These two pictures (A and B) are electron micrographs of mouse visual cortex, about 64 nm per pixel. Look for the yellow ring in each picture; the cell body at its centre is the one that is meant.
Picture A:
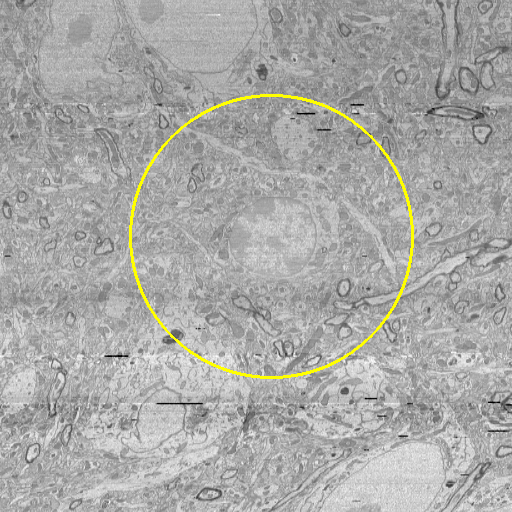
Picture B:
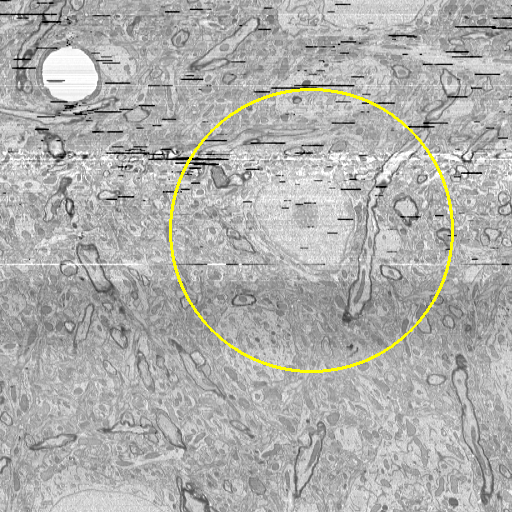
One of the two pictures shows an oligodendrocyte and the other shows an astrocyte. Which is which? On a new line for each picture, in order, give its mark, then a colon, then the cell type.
A: oligodendrocyte
B: astrocyte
